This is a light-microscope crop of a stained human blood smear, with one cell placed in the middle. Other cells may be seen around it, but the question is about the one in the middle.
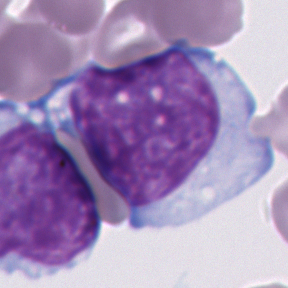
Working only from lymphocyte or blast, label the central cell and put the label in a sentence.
The cell in the middle of the field of view is a blast.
